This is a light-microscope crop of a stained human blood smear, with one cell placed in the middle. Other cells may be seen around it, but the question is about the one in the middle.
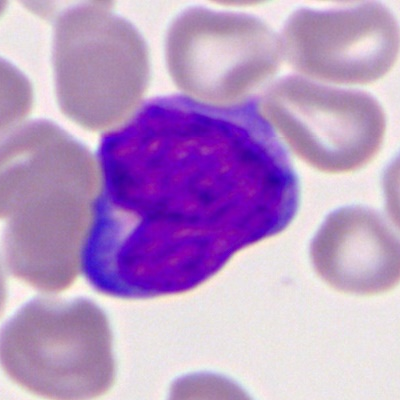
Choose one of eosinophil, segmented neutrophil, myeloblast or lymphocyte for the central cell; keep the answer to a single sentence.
In this crop, the cell at the very middle is a myeloblast.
